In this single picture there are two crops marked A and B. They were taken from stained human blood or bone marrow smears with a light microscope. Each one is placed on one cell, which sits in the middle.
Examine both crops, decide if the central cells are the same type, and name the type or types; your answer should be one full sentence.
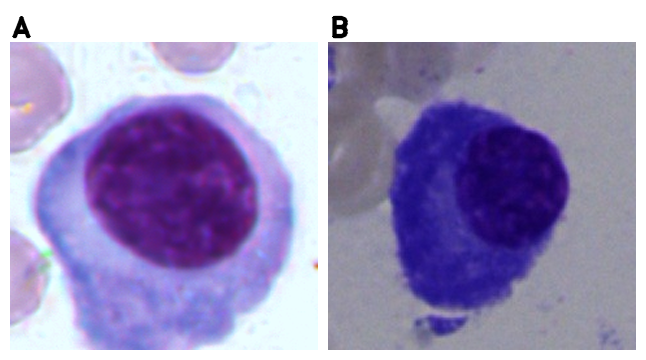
Yes, the two crops share the same answer, plasma cells.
